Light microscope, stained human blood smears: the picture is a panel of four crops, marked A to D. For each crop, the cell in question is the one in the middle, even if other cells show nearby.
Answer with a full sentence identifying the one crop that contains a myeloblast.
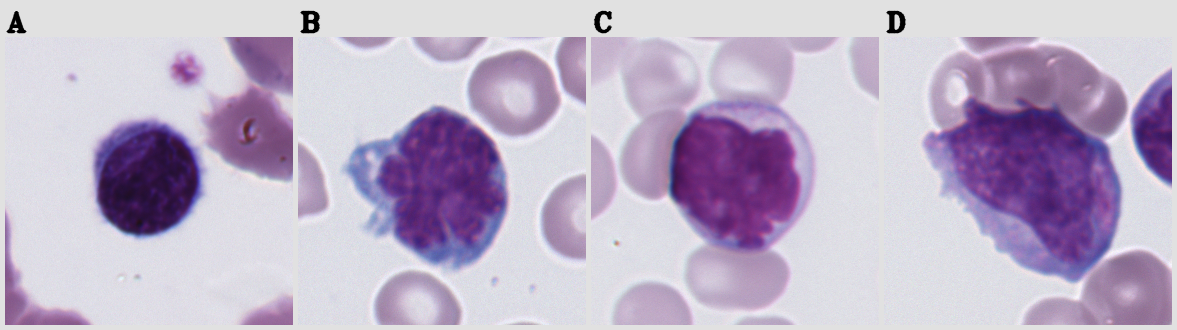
The crop that shows a myeloblast is crop B.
